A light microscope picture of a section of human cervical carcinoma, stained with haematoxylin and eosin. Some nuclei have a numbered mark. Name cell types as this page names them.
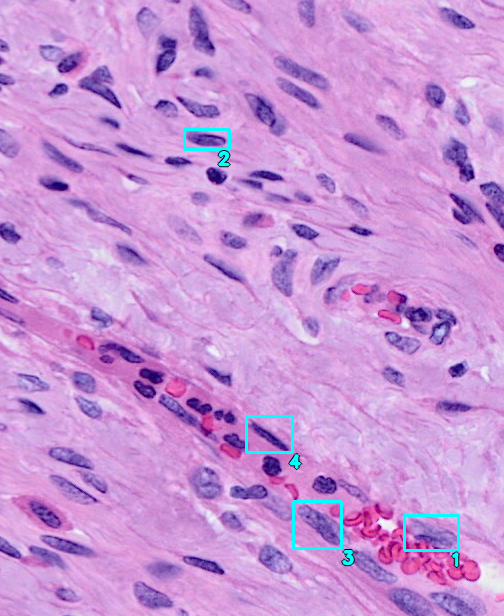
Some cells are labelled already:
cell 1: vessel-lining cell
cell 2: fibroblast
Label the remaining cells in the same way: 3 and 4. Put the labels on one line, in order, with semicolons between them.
vessel-lining cell; vessel-lining cell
